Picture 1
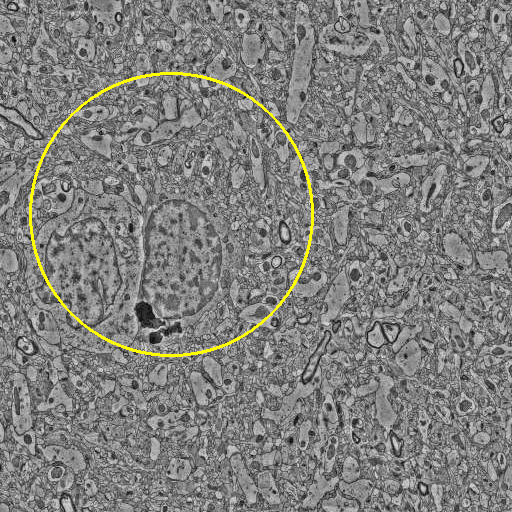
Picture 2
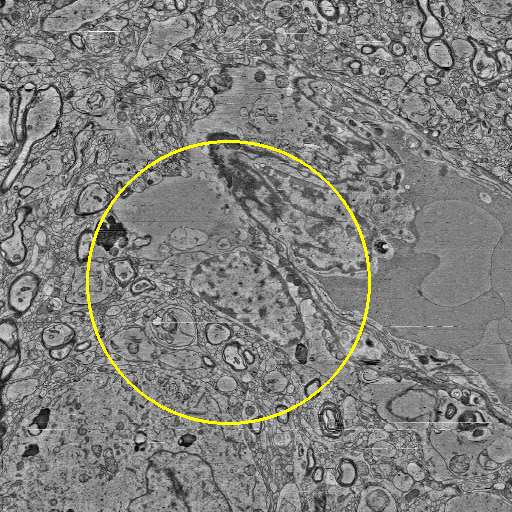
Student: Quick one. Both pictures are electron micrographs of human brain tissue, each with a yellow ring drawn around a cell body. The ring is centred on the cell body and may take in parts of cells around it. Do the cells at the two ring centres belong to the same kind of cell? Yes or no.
no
